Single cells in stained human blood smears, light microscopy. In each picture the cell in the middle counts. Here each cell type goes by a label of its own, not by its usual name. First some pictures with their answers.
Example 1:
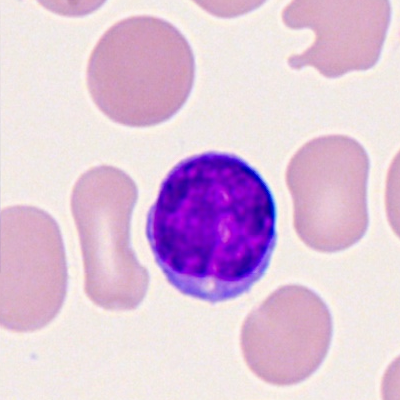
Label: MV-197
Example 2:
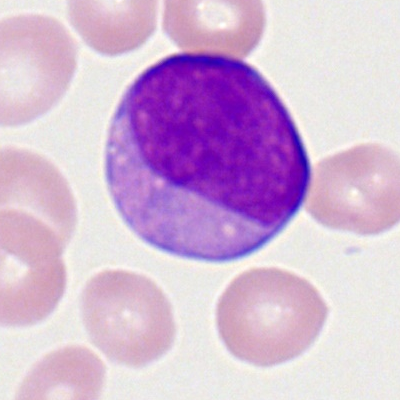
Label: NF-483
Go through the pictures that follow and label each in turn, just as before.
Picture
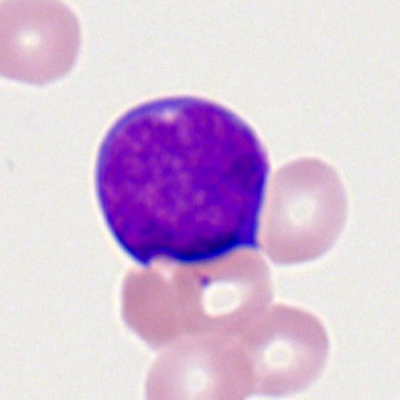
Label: NF-483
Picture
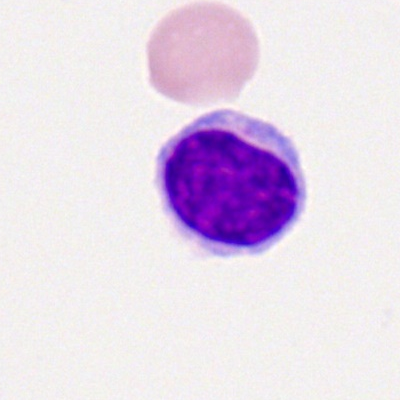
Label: MV-197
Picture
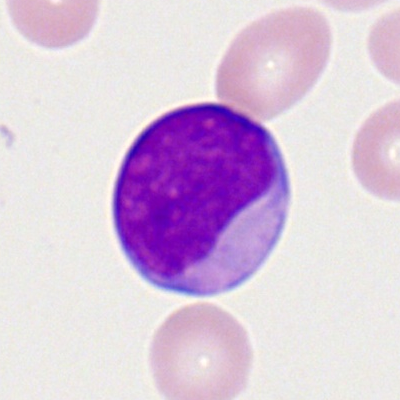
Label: NF-483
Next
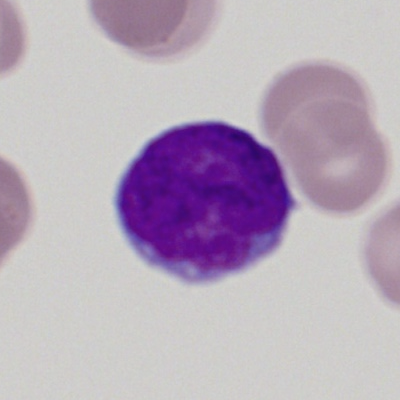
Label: NF-483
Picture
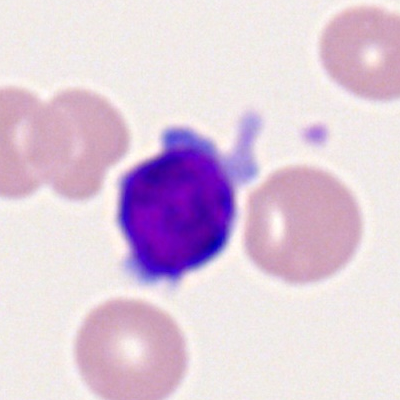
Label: MV-197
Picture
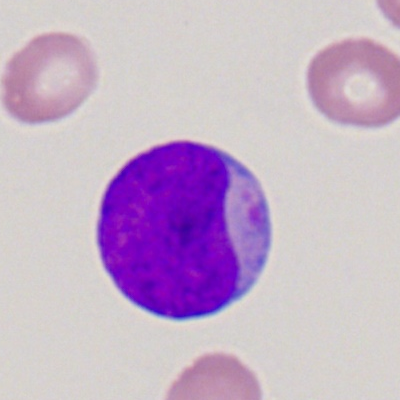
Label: NF-483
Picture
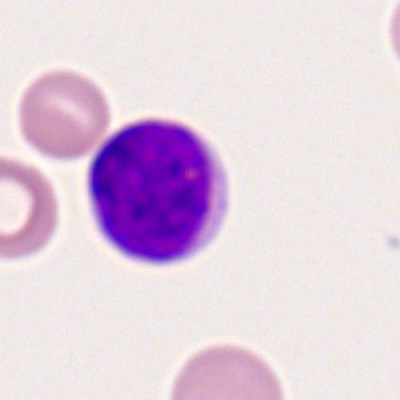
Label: MV-197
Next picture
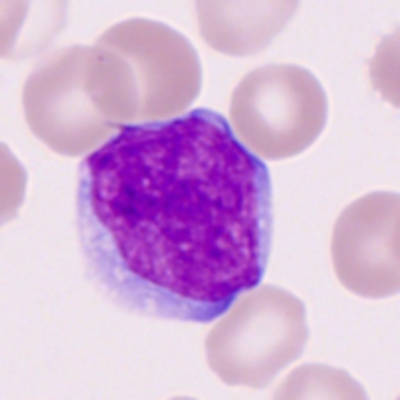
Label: NF-483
